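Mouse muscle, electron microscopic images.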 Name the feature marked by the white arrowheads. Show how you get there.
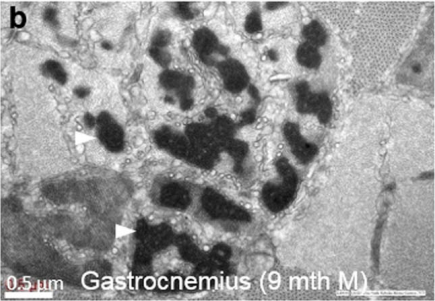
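Many dense black irregular bodies are clustered together. The bodies are far darker than the neighbouring myofibrils. On this evidence: nemaline bodies.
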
